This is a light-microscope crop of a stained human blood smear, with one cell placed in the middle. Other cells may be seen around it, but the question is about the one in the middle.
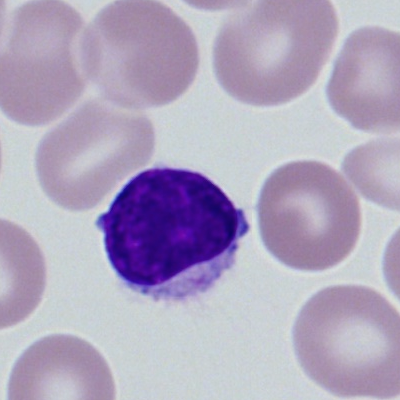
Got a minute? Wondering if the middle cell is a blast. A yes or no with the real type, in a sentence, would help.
No, a blast is not what the central cell is; it is a lymphocyte.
